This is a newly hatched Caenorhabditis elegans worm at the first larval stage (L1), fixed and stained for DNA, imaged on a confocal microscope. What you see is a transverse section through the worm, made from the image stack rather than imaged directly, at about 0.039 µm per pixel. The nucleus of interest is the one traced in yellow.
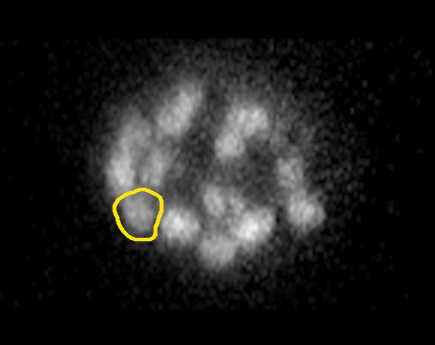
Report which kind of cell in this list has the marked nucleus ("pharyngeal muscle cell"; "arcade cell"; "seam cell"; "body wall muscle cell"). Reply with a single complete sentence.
The nucleus comes from a body wall muscle cell.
